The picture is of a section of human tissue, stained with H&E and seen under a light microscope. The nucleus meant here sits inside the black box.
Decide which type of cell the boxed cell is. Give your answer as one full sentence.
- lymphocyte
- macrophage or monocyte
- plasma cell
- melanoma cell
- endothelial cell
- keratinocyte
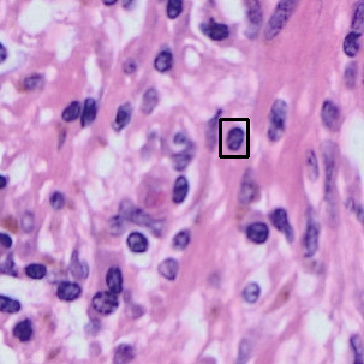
The cell meant here is a lymphocyte.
